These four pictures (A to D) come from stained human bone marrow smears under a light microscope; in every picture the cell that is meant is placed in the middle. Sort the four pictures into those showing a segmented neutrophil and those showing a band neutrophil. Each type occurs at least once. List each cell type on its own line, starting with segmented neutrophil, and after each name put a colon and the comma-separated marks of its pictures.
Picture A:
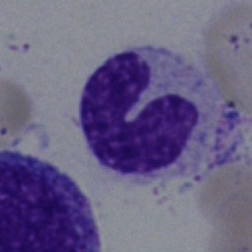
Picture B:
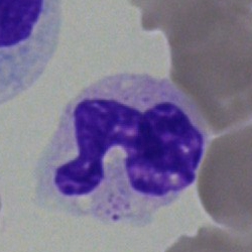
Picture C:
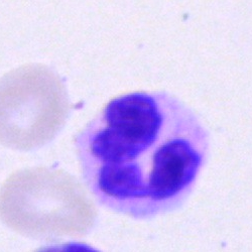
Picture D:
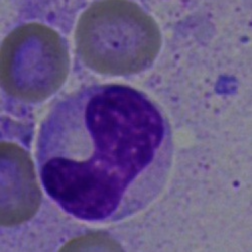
segmented neutrophil: B, C
band neutrophil: A, D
